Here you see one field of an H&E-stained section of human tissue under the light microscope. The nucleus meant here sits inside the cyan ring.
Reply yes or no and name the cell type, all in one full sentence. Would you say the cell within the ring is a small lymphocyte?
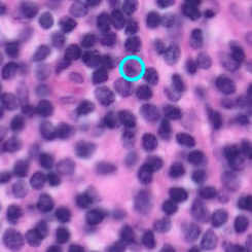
Yes, a small lymphocyte is what the cell within the ring is in this section.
